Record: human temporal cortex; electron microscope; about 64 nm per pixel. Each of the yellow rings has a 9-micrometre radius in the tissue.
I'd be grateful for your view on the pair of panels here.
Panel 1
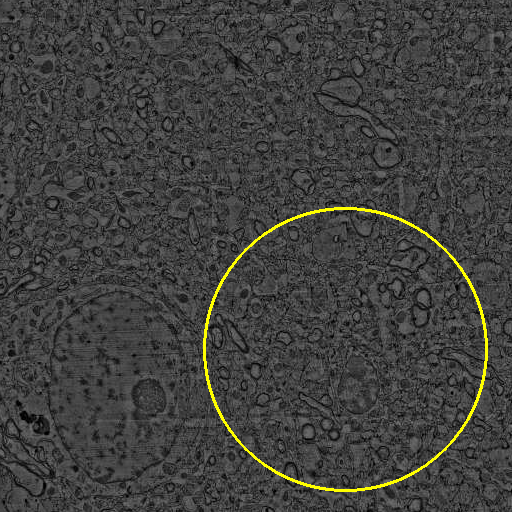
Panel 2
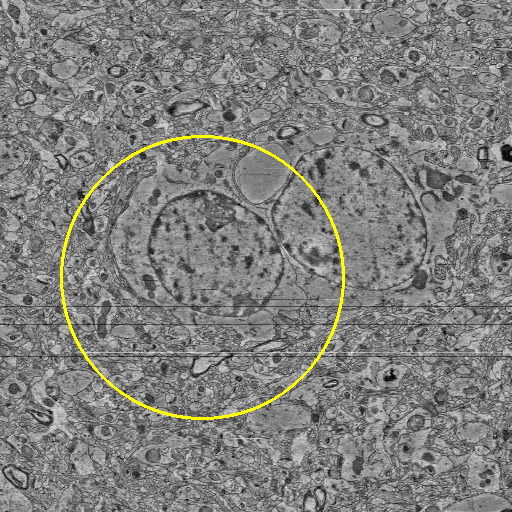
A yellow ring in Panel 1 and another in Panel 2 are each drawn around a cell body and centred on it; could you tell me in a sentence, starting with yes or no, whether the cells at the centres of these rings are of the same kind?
No, they are two kinds of cell.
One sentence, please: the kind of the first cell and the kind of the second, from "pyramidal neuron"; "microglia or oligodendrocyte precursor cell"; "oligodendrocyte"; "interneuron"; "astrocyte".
The ring in the first picture surrounds a microglial cell or oligodendrocyte precursor cell, and the ring in the second surrounds an astrocyte.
